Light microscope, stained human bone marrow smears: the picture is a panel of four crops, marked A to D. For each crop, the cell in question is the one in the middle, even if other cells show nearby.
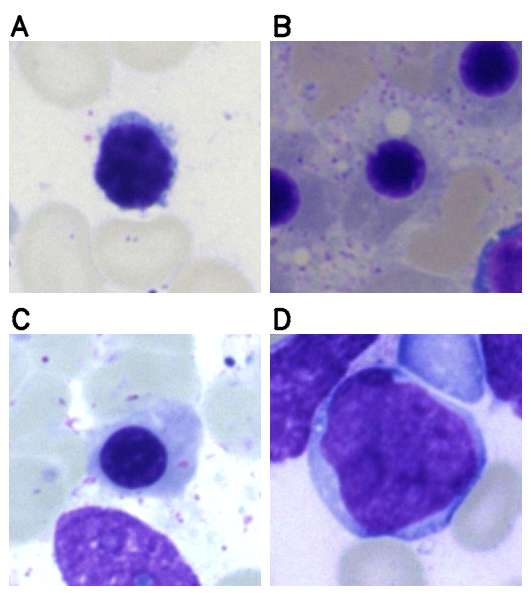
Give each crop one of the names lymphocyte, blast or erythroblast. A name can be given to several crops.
A: lymphocyte
B: erythroblast
C: erythroblast
D: blast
